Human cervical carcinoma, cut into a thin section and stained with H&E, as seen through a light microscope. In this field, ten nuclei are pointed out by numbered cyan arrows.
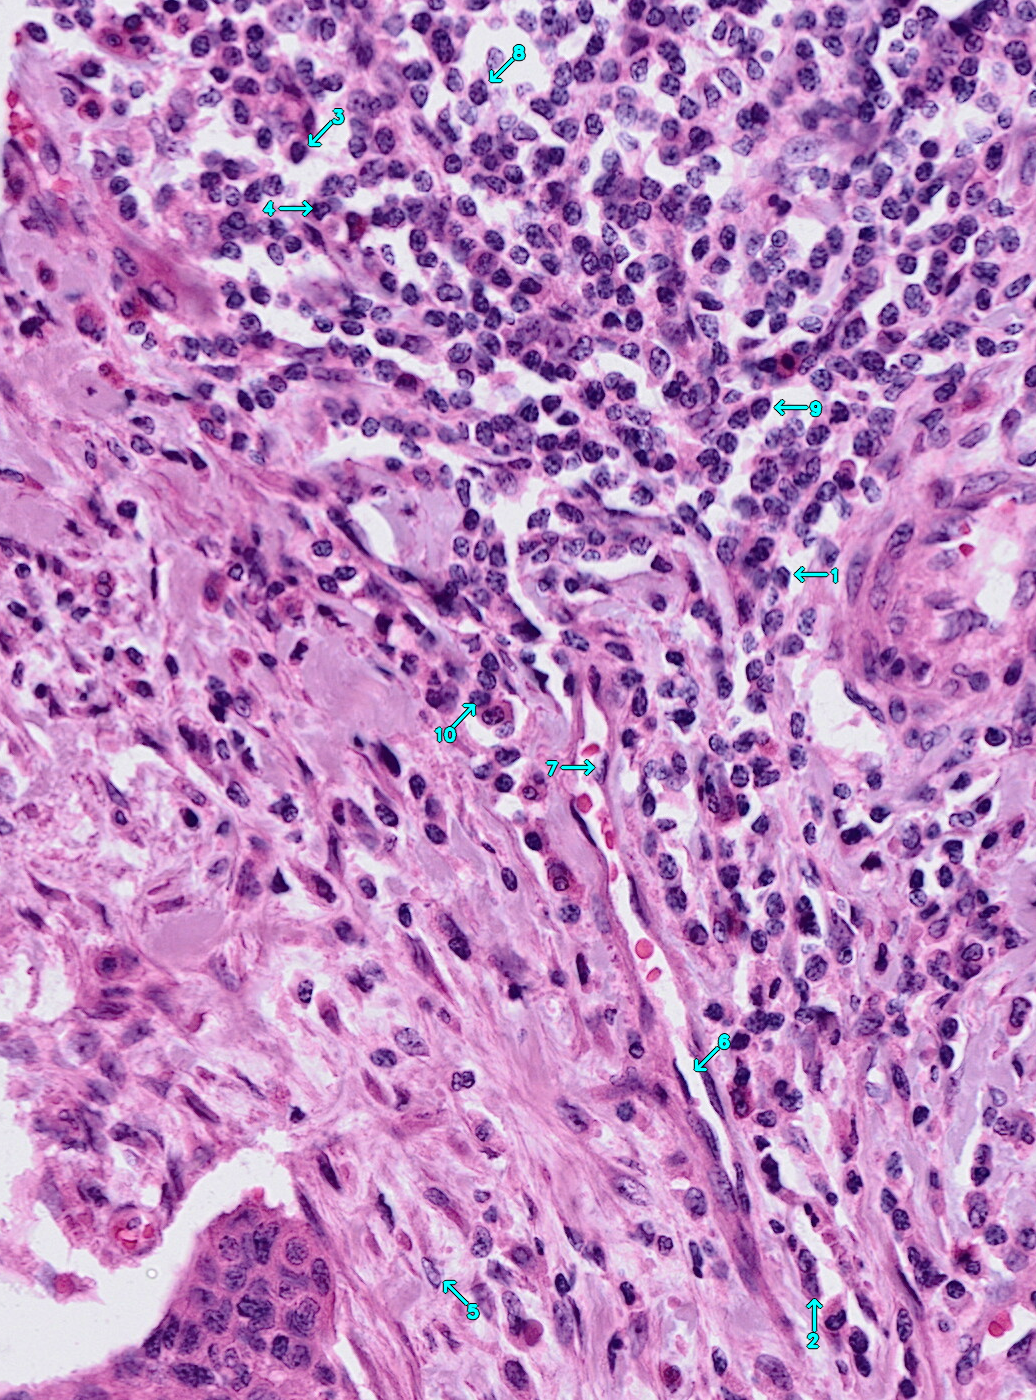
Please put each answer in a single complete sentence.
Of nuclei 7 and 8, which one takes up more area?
Nucleus 8 is the larger one, covering about 1.5 times the area of nucleus 7.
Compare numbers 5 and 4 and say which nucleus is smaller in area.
Nucleus 4 covers less area, with nucleus 5 about 1.5 times as large.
